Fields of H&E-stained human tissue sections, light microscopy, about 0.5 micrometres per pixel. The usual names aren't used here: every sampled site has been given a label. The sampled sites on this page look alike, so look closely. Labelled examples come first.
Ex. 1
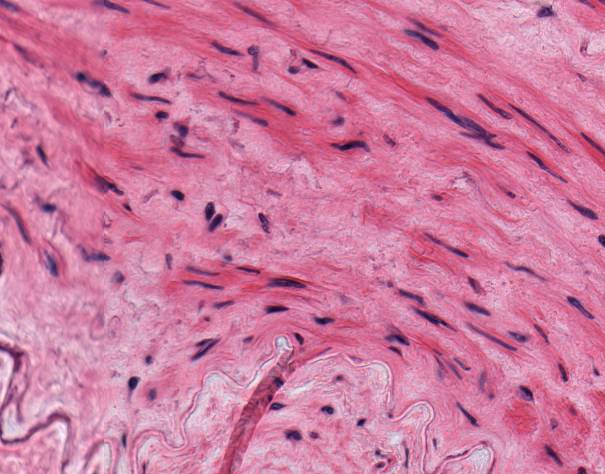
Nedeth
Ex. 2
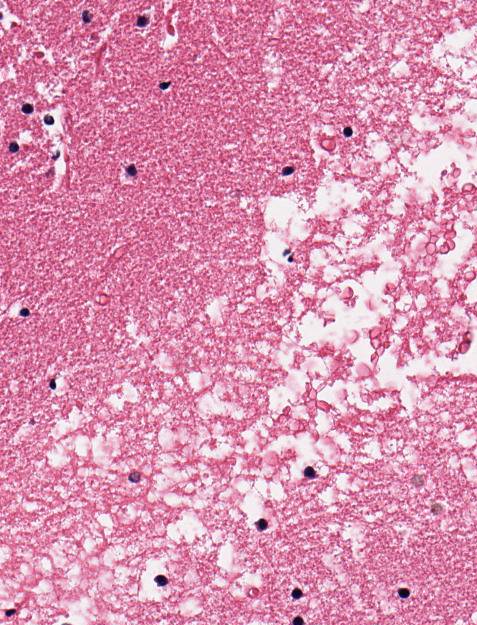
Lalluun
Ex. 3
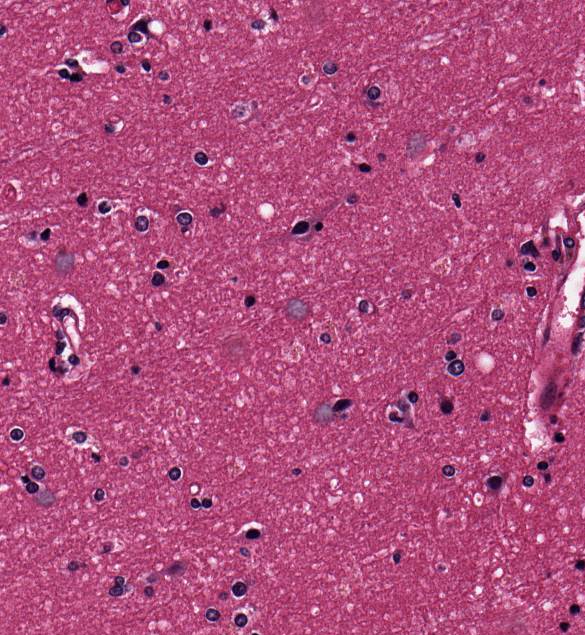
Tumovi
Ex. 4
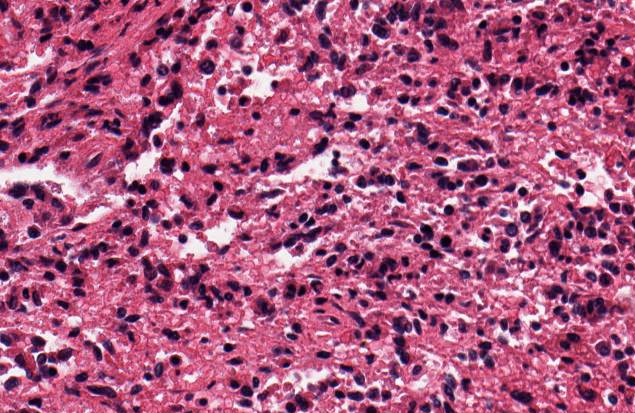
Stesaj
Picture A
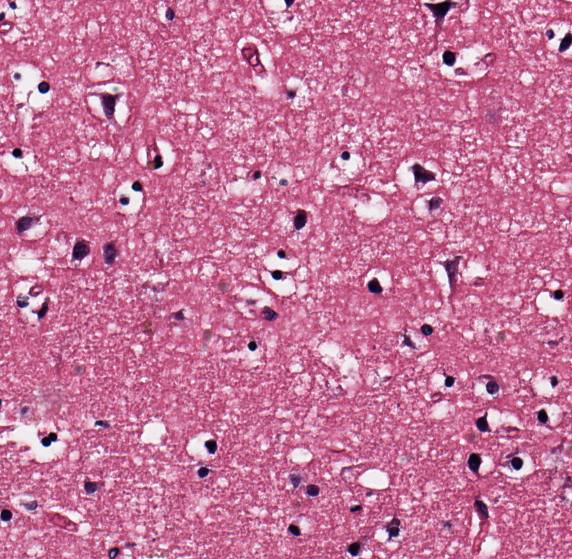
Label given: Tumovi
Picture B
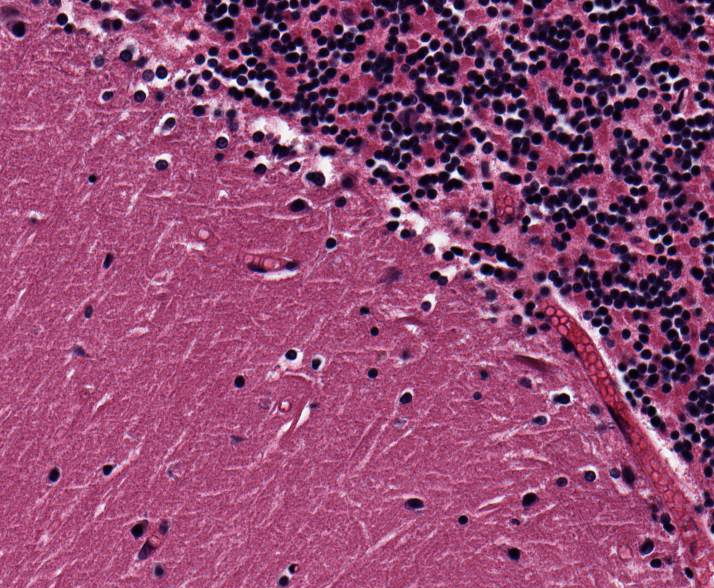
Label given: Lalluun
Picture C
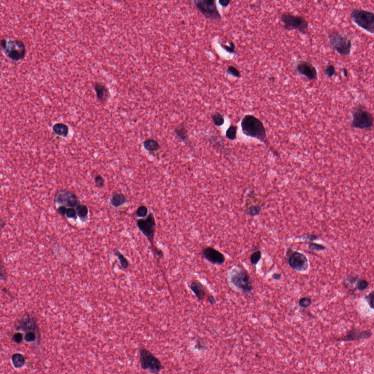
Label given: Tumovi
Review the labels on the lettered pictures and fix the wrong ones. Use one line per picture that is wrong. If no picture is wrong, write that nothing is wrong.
Every label is right.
